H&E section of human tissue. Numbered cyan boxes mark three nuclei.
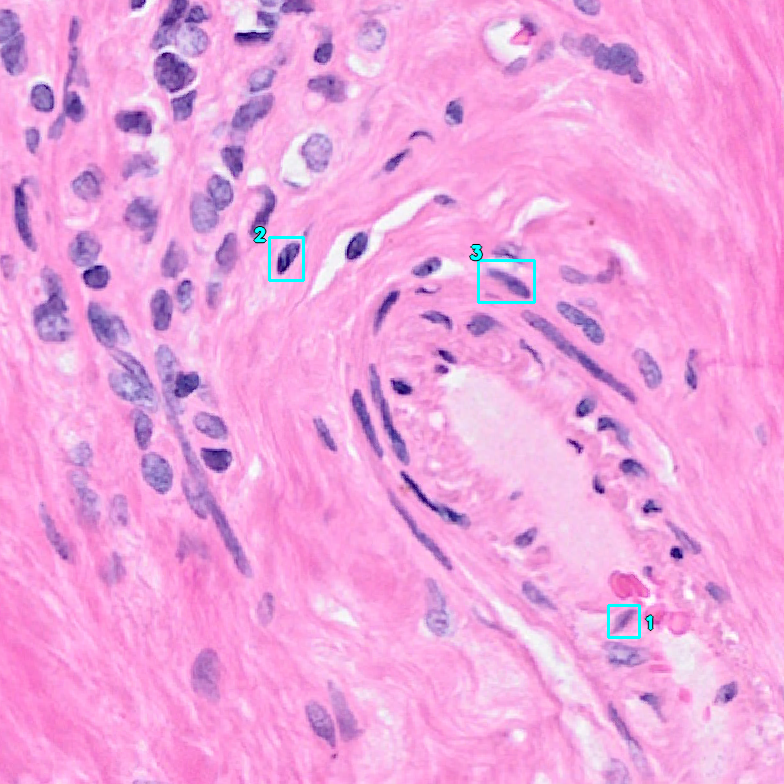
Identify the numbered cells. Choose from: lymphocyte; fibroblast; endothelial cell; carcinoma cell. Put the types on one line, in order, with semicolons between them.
endothelial cell; lymphocyte; endothelial cell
